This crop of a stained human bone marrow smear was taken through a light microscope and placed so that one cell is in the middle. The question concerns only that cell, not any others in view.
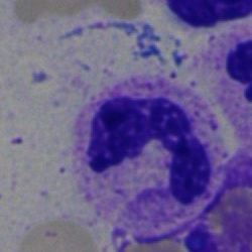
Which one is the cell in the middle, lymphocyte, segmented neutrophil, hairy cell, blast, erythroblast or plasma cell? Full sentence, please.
The centered cell in this crop is a segmented neutrophil.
